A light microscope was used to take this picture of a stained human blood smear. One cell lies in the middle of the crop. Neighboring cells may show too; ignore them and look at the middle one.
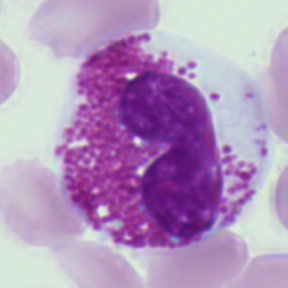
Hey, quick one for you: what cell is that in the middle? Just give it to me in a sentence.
The cell at the central position in this crop is an eosinophil.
